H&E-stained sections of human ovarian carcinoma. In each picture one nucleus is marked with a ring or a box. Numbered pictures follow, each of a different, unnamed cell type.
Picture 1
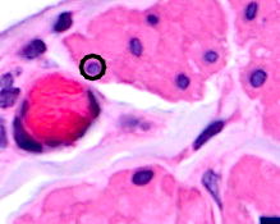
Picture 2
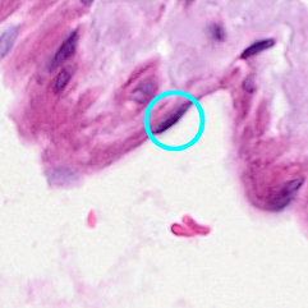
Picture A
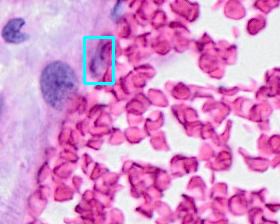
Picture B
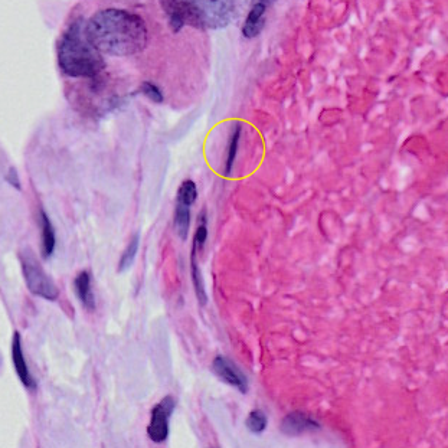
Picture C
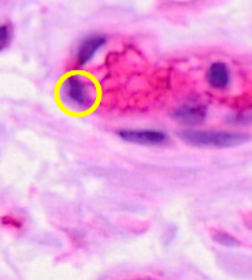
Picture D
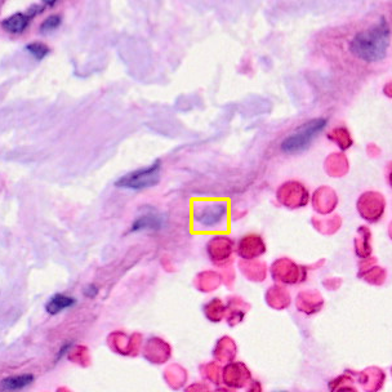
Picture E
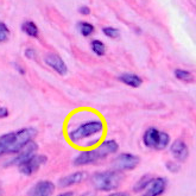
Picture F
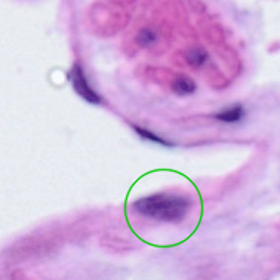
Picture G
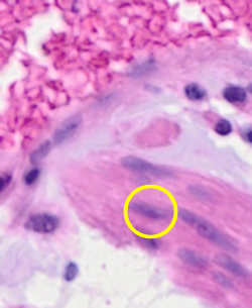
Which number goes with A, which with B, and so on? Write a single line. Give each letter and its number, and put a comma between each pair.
A 2, B 2, C 2, D 2, E 1, F 2, G 1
